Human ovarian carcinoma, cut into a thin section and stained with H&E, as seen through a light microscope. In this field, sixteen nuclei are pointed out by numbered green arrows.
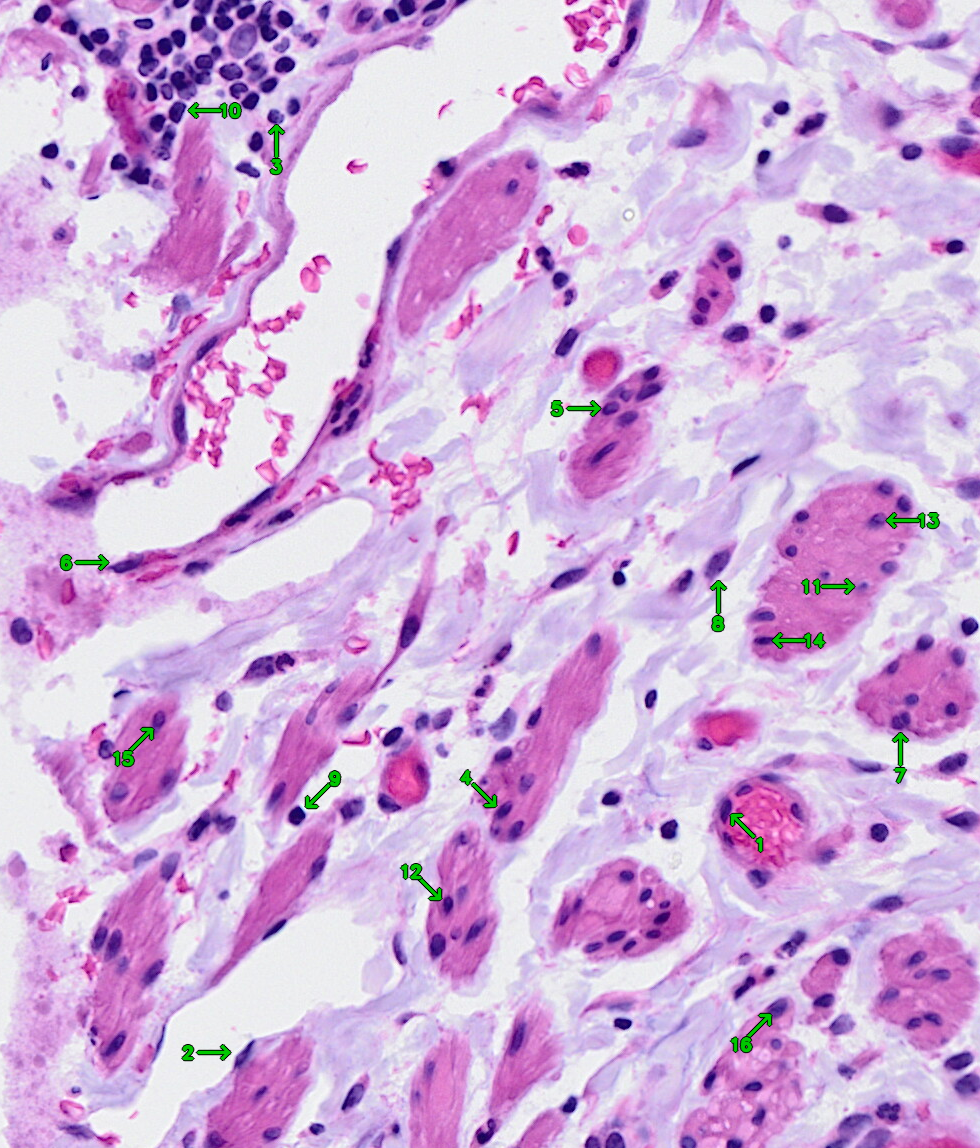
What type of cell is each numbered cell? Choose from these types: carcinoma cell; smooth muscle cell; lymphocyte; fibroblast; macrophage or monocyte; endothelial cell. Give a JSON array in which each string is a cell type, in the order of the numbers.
["endothelial cell", "endothelial cell", "lymphocyte", "smooth muscle cell", "smooth muscle cell", "endothelial cell", "smooth muscle cell", "fibroblast", "lymphocyte", "lymphocyte", "smooth muscle cell", "smooth muscle cell", "smooth muscle cell", "smooth muscle cell", "smooth muscle cell", "smooth muscle cell"]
